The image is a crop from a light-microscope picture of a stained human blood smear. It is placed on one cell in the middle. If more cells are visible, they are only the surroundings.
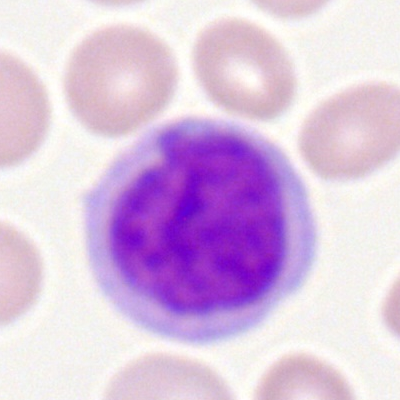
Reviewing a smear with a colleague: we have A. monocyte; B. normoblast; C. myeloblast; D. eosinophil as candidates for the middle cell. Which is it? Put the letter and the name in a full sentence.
It is a monocyte that occupies the centre of the crop, so option A is correct.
